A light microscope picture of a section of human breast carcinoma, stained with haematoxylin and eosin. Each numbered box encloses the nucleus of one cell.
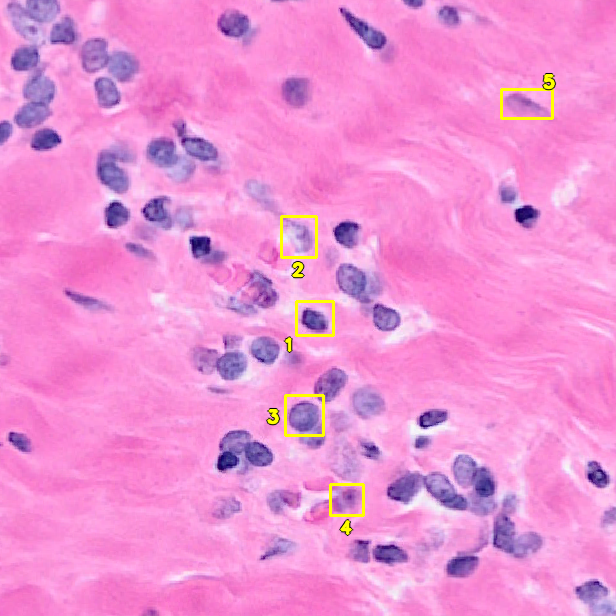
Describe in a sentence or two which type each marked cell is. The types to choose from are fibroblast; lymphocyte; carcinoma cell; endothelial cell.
Cell 1 is a lymphocyte. Cells 2 and 4 are endothelial cells. Cell 3 is a carcinoma cell. Cell 5 is a fibroblast.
